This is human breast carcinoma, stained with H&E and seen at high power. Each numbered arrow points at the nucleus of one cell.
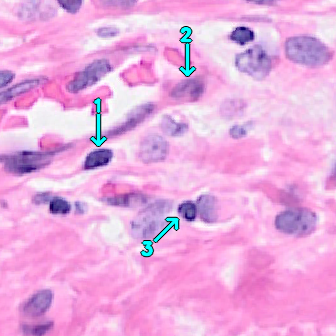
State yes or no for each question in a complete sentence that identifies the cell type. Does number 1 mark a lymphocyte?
Yes, in this section the cell numbered 1 is a lymphocyte.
